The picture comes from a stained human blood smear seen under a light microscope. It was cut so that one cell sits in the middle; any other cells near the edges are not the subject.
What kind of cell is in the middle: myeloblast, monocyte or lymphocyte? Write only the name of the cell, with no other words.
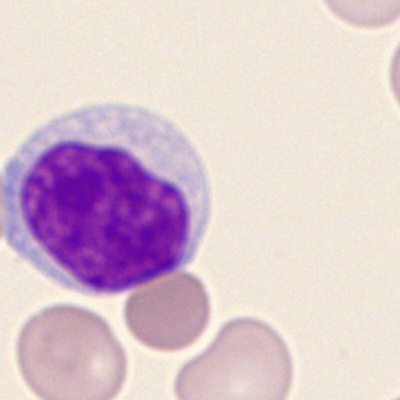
lymphocyte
